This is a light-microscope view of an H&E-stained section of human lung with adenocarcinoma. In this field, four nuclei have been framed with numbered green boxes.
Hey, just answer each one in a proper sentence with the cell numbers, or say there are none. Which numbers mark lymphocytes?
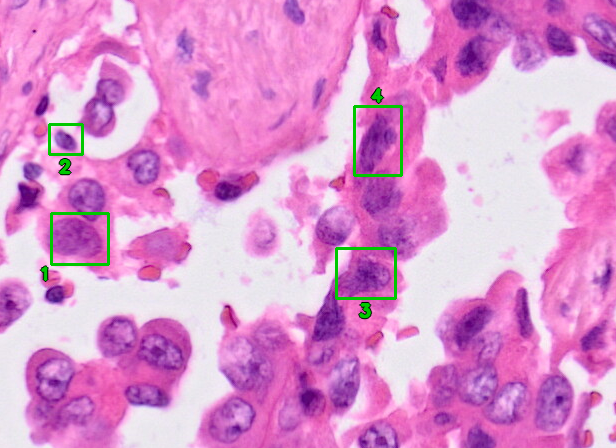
Cell 2 is a lymphocyte, while every other numbered cell is not.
